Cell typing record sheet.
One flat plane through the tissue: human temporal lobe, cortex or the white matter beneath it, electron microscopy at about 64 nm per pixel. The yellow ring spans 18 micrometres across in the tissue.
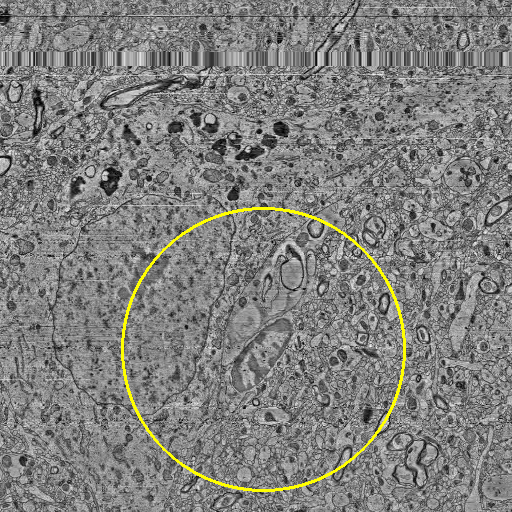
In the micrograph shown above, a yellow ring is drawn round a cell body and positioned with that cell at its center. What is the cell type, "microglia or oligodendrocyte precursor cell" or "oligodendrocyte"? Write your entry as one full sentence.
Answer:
The cell body at the center of the ring belongs to a microglial cell or oligodendrocyte precursor cell.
